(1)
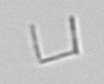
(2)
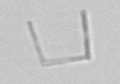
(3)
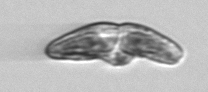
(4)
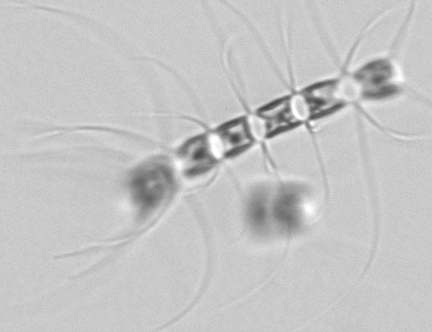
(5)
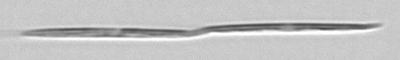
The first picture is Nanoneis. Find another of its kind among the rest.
Picture 2.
